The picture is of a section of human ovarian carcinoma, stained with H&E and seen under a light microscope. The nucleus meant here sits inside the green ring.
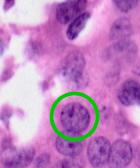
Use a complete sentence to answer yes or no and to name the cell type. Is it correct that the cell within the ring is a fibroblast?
No, the cell within the ring is a carcinoma cell instead of a fibroblast.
